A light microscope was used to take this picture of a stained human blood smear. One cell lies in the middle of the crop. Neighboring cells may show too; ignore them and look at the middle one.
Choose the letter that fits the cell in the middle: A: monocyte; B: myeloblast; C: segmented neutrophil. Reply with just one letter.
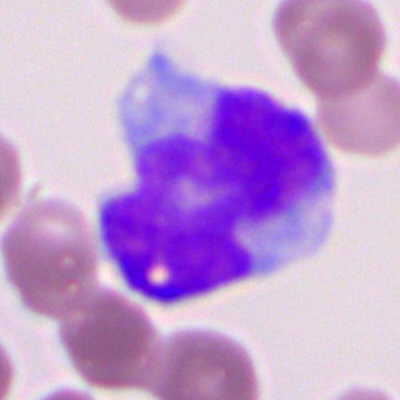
A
